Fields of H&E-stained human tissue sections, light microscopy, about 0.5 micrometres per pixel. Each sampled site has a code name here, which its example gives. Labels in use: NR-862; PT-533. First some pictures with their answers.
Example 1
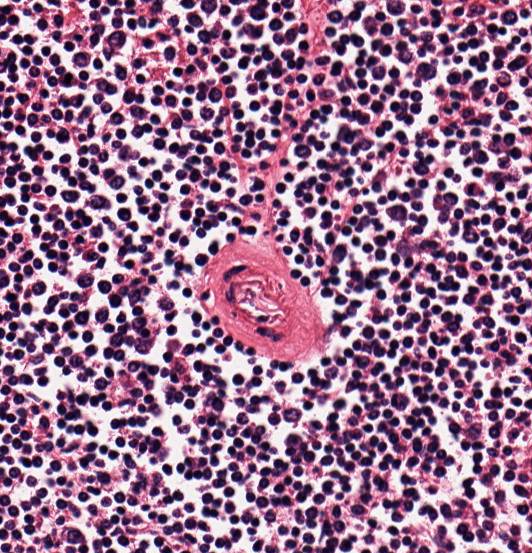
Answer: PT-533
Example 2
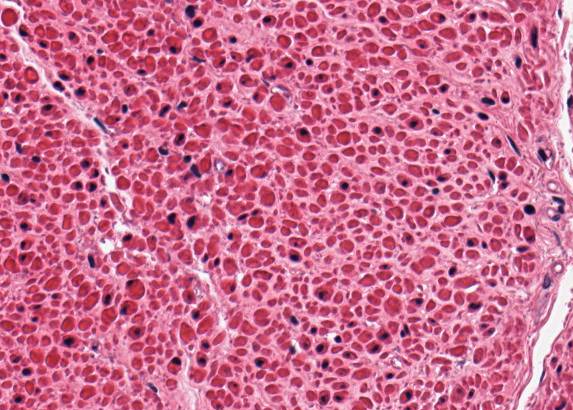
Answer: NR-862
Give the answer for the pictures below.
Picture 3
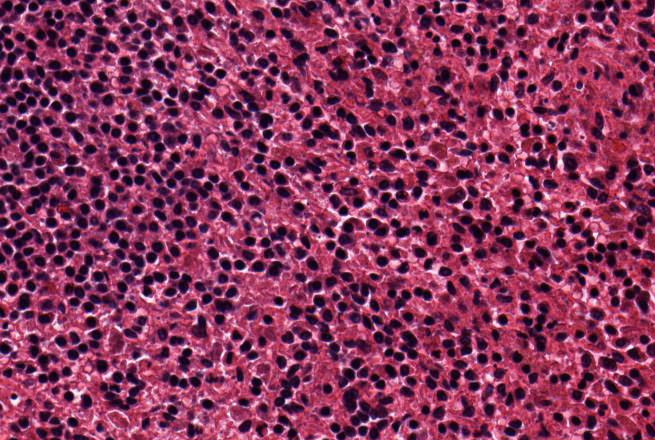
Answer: PT-533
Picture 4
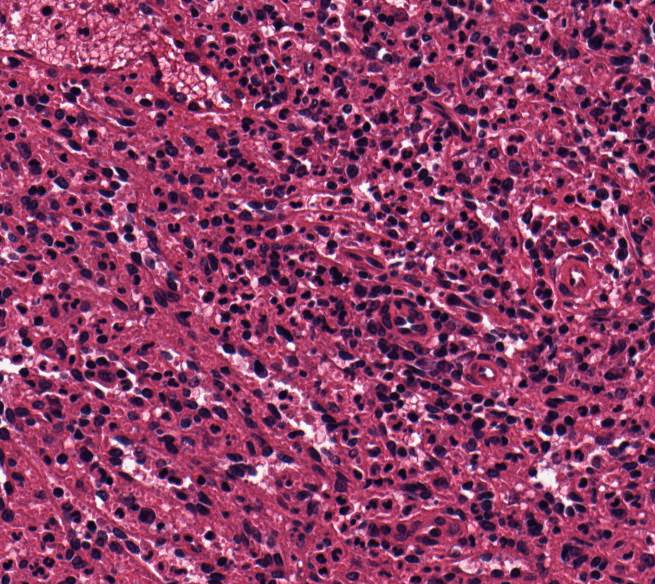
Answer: PT-533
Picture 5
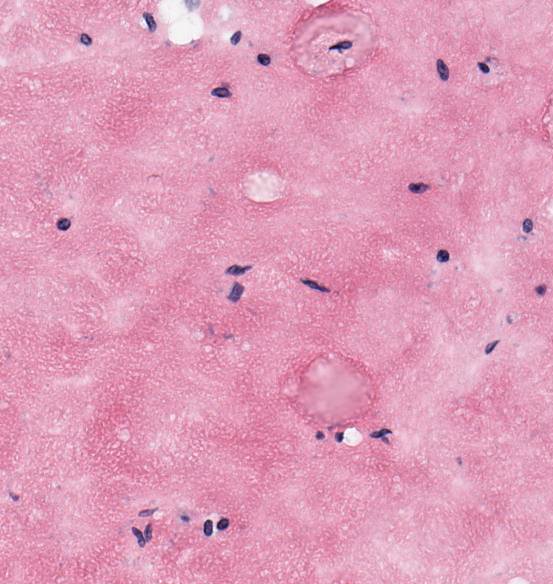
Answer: NR-862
